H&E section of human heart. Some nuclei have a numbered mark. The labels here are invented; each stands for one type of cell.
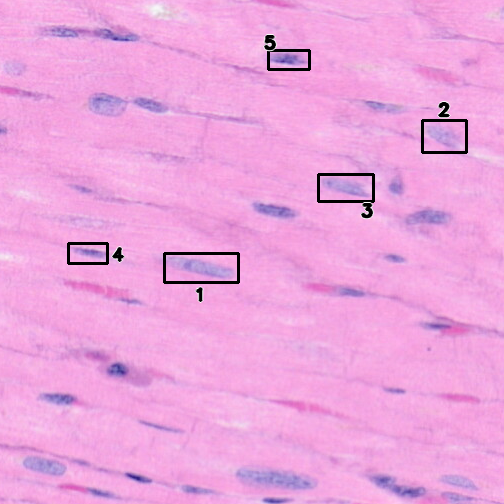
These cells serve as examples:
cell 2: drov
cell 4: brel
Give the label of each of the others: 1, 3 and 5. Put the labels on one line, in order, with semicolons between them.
drov; drov; brel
